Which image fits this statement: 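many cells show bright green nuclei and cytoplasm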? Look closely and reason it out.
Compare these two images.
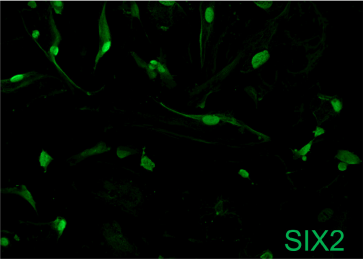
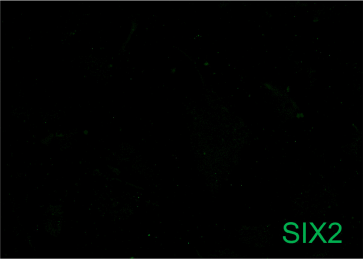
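Second image: the green channel is nearly dark with only faint specks. First image: numerous cells with bright green nuclei and elongated green cell bodies. That points to this answer: the first image.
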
